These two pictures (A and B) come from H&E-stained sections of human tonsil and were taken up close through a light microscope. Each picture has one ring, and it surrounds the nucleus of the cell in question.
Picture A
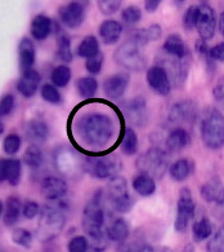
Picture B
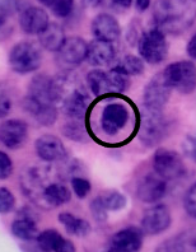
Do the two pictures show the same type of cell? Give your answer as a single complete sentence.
Yes; the cells in both pictures are proliferating B cells.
